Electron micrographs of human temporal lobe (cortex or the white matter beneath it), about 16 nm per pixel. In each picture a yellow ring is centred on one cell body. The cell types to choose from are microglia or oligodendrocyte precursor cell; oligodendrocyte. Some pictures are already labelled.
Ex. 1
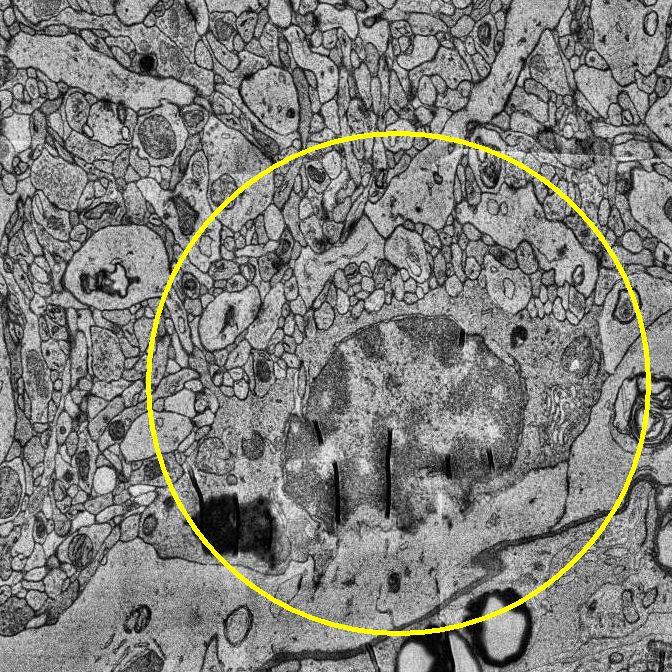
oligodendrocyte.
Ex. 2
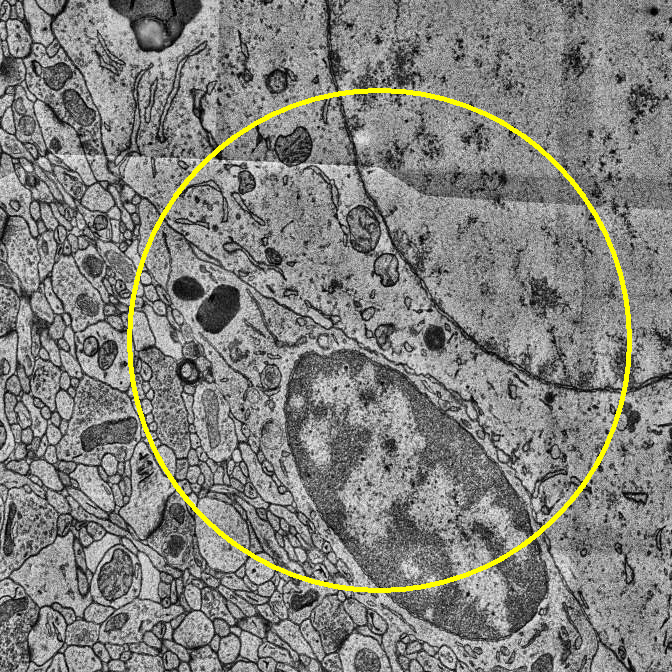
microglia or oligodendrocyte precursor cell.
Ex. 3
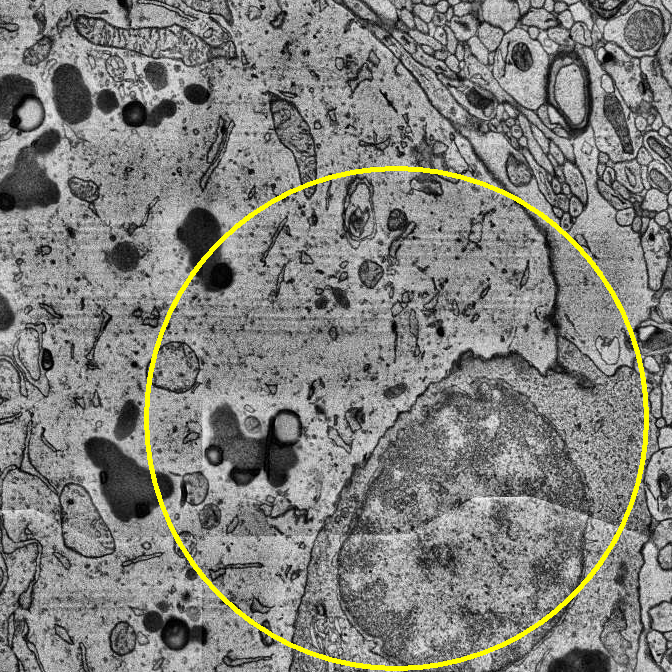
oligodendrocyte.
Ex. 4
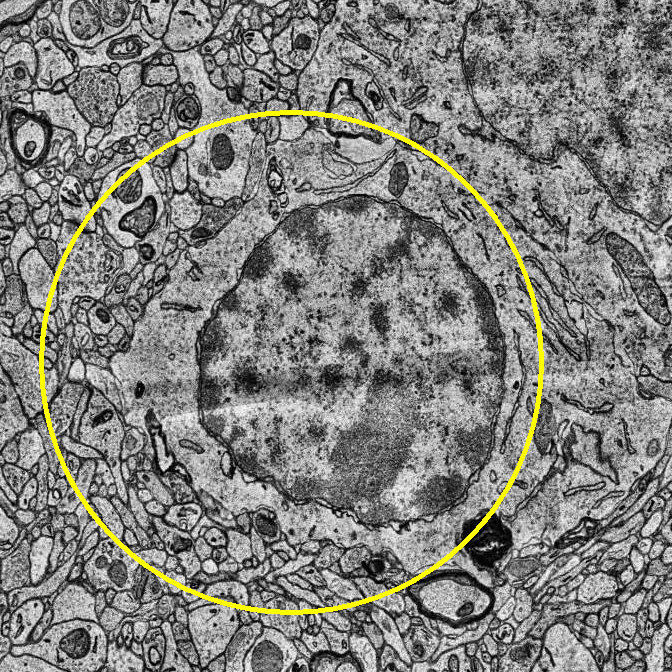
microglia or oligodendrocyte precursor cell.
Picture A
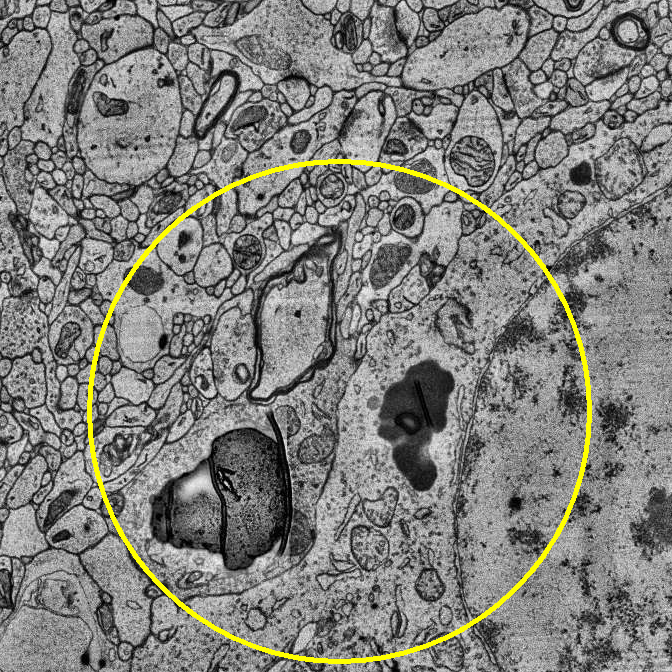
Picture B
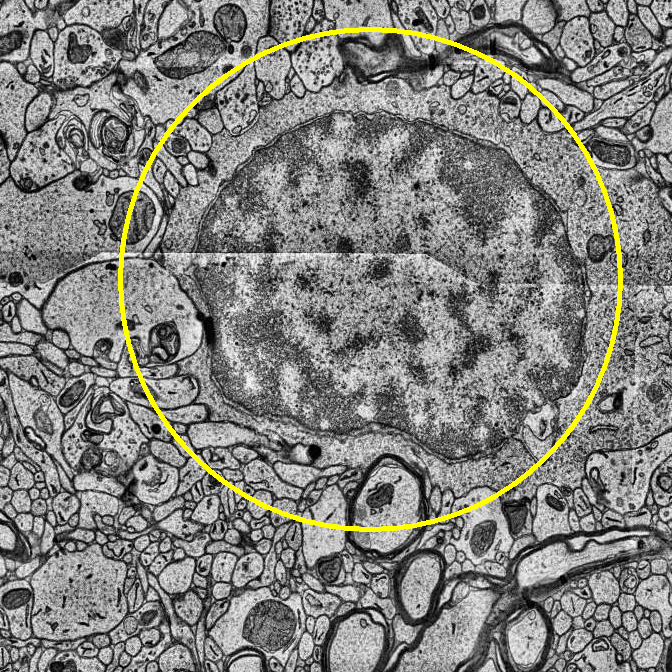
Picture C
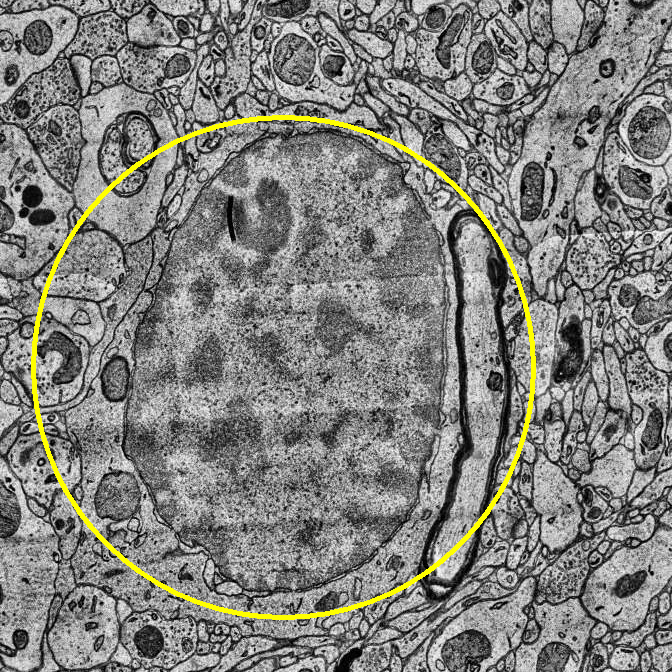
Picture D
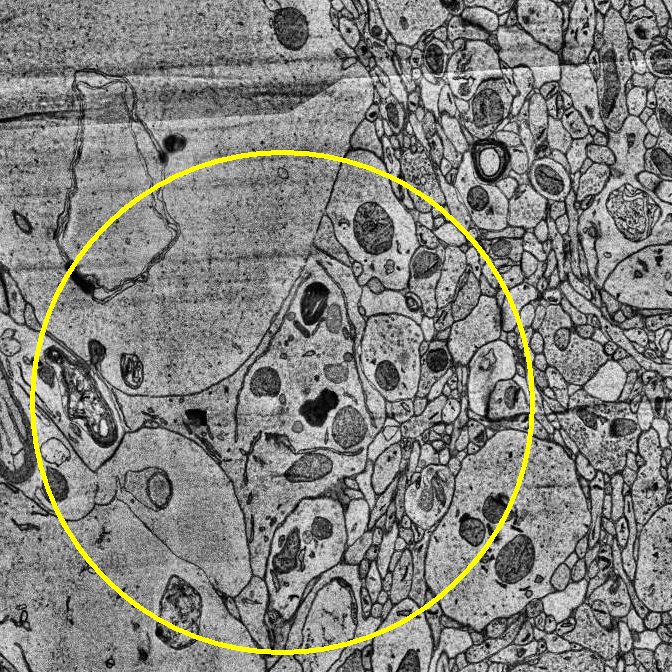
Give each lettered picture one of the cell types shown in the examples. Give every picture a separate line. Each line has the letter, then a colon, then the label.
A: oligodendrocyte.
B: oligodendrocyte.
C: oligodendrocyte.
D: microglia or oligodendrocyte precursor cell.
